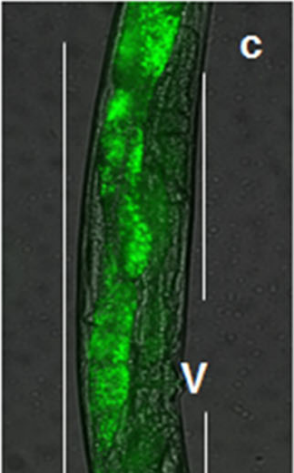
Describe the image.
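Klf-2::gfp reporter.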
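A broad band of patchy, granular green fluorescence runs the full length of one side of the body, following a tubular organ. At mid-body the cuticle outline shows a small notch at the vulva, which also lacks fluorescence. The body wall and cuticle appear as thin grey outlines in the transmitted light image.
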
